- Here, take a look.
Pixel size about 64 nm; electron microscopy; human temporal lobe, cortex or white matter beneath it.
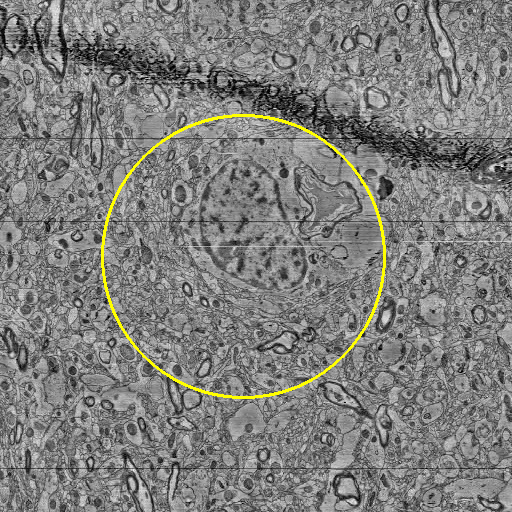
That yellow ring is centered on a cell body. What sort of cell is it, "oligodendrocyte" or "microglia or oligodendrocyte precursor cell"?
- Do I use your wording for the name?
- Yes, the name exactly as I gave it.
microglia or oligodendrocyte precursor cell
